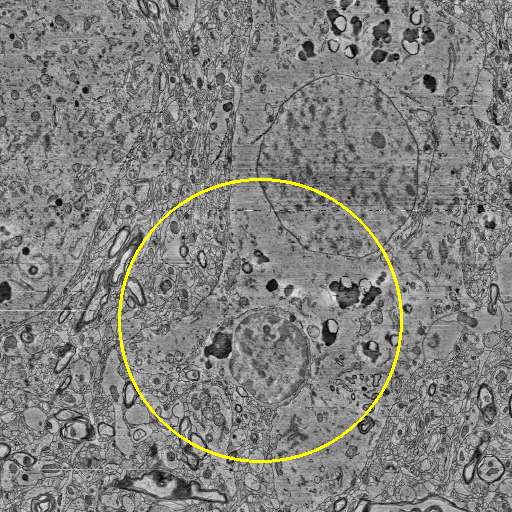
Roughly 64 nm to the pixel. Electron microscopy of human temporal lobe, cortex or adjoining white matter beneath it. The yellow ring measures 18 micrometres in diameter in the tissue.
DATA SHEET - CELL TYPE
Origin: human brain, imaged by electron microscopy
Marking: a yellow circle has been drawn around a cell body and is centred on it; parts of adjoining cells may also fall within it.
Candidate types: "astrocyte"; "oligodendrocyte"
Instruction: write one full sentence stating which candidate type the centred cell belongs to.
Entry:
The cell body at the centre of the yellow ring in this micrograph belongs to an oligodendrocyte.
